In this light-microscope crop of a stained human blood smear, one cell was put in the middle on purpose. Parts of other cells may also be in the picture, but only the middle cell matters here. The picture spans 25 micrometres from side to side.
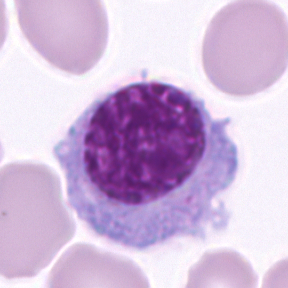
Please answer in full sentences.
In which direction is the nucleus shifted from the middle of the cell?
The nucleus is pushed toward the top of the cell.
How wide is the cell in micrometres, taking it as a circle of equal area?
The cell is about 15 micrometres across.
